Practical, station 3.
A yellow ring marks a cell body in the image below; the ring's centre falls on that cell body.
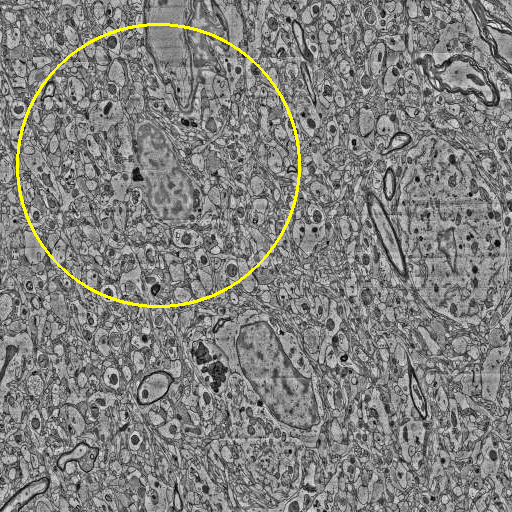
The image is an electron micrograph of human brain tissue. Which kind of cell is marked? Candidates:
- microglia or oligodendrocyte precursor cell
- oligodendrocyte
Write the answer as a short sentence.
The marked cell body is that of an oligodendrocyte.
